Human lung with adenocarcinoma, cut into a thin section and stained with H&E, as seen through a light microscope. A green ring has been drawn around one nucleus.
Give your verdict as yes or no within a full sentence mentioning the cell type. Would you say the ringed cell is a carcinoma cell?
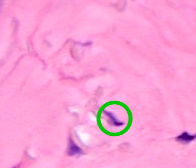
No, the ringed cell is recorded as a fibroblast instead of a carcinoma cell.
